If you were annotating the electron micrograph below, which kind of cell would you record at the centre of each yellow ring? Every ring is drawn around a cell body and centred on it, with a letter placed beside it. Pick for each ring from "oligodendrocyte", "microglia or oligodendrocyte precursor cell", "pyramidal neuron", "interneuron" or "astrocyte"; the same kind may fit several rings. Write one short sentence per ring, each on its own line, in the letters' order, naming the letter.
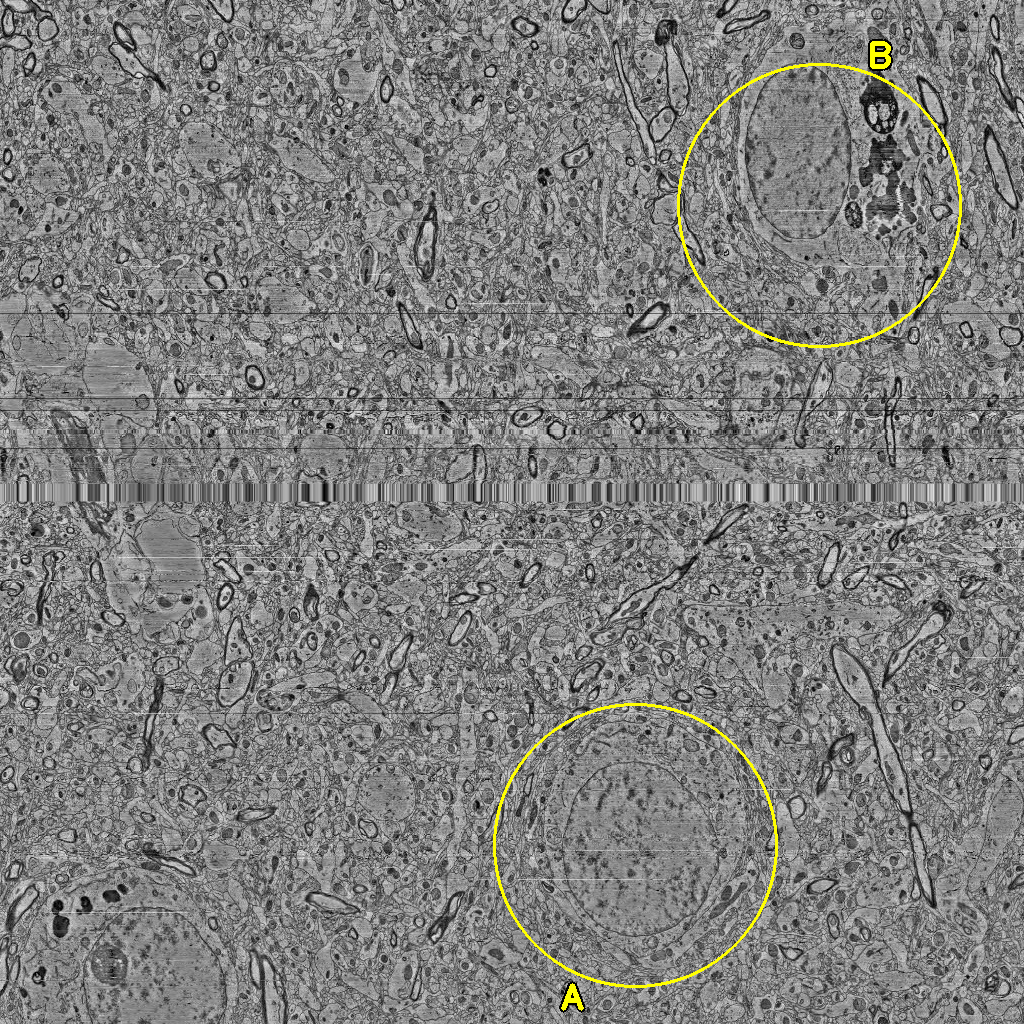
For ring A, I would record a pyramidal neuron.
For ring B, I would record an astrocyte.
